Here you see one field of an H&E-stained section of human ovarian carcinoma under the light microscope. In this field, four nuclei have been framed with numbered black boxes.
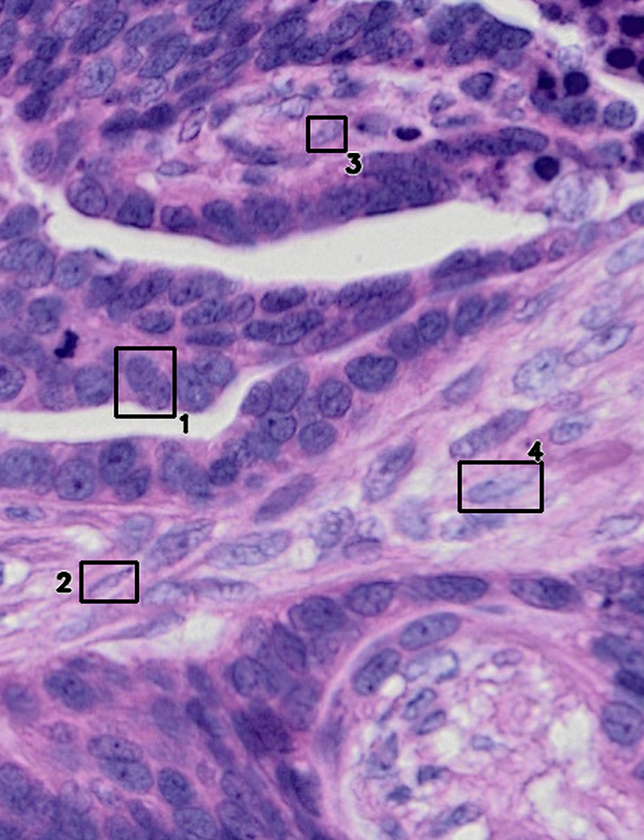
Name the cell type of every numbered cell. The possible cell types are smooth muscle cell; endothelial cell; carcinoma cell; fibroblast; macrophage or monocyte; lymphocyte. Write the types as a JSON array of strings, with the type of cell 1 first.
["carcinoma cell", "fibroblast", "fibroblast", "fibroblast"]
